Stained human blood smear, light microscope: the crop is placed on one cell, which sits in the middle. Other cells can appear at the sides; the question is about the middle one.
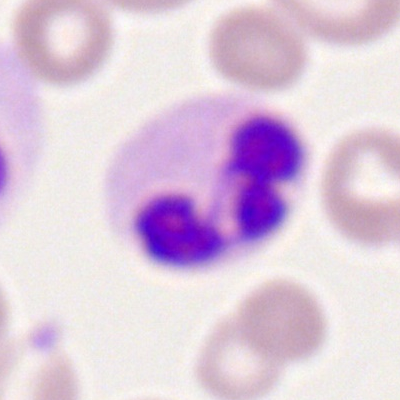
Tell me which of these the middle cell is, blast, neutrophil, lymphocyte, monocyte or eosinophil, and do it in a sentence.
The cell the crop is centered on is a neutrophil.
